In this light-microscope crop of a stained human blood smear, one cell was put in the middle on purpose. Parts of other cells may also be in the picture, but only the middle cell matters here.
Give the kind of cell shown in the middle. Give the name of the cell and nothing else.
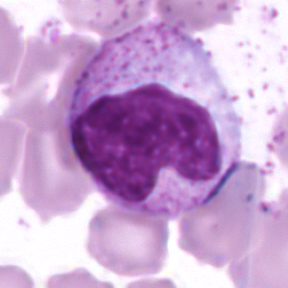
metamyelocyte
